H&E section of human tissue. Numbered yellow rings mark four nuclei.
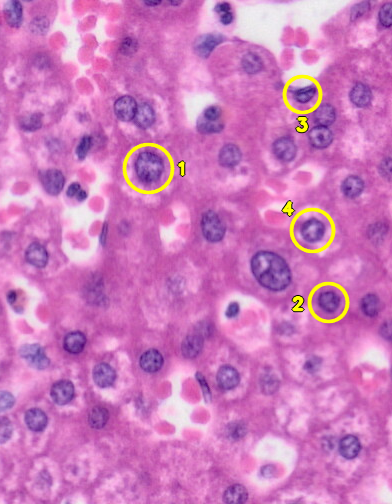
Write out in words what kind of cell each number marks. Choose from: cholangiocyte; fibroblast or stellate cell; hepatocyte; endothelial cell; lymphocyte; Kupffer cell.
Cells 1, 2 and 4 are hepatocytes. Cell 3 is a fibroblast or stellate cell.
